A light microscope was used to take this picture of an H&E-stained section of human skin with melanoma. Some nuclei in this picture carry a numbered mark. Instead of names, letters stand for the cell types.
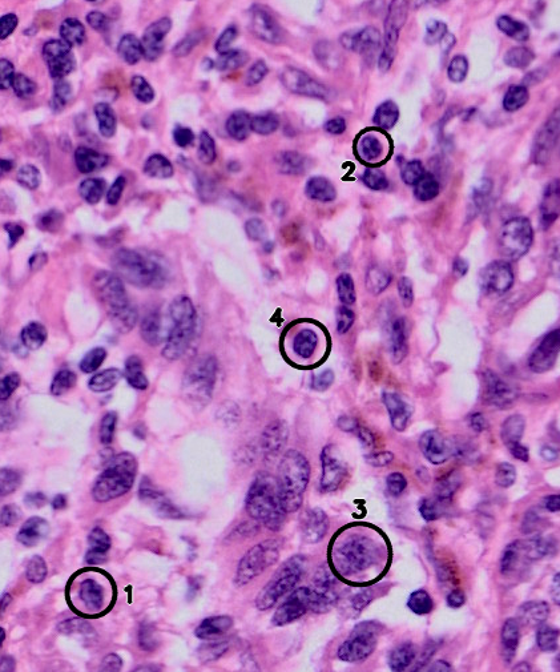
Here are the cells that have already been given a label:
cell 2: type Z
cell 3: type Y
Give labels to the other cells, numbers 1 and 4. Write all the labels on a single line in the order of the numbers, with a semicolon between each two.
type Z; type Z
